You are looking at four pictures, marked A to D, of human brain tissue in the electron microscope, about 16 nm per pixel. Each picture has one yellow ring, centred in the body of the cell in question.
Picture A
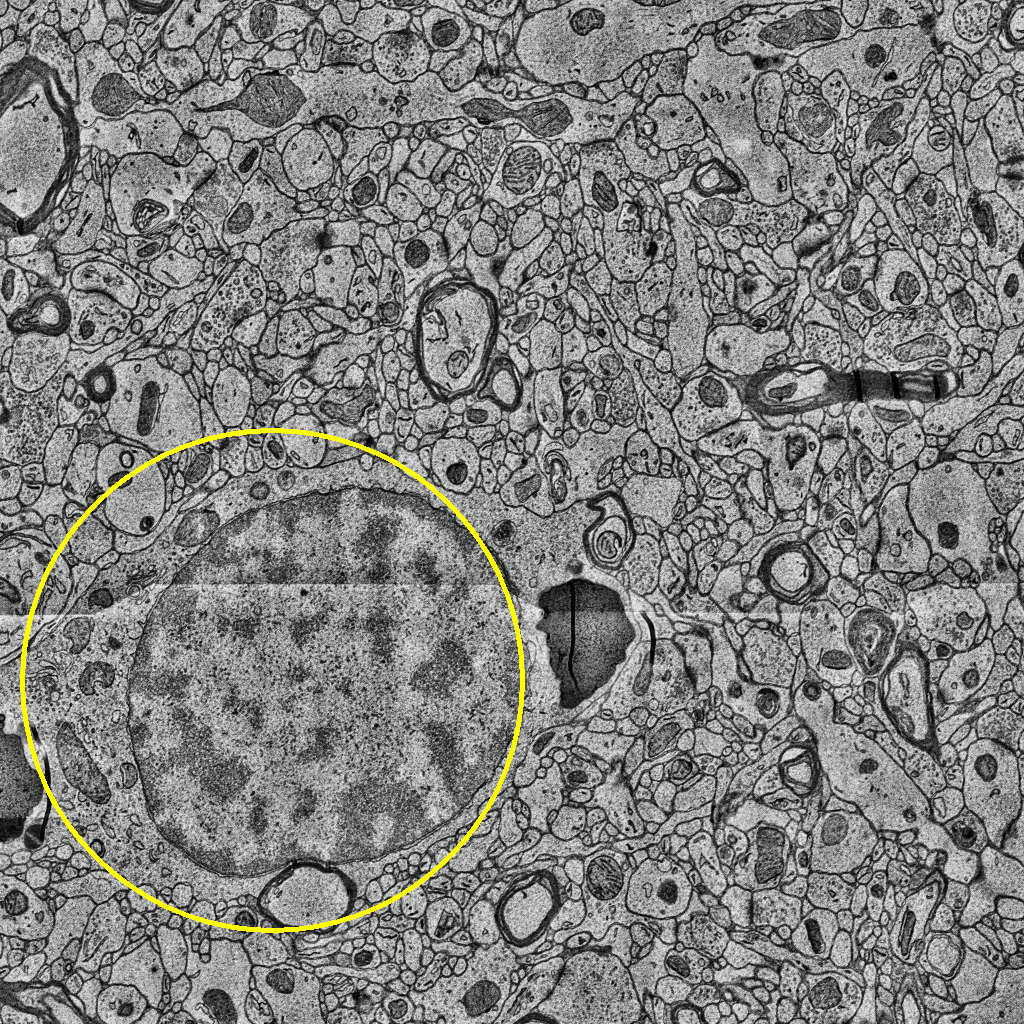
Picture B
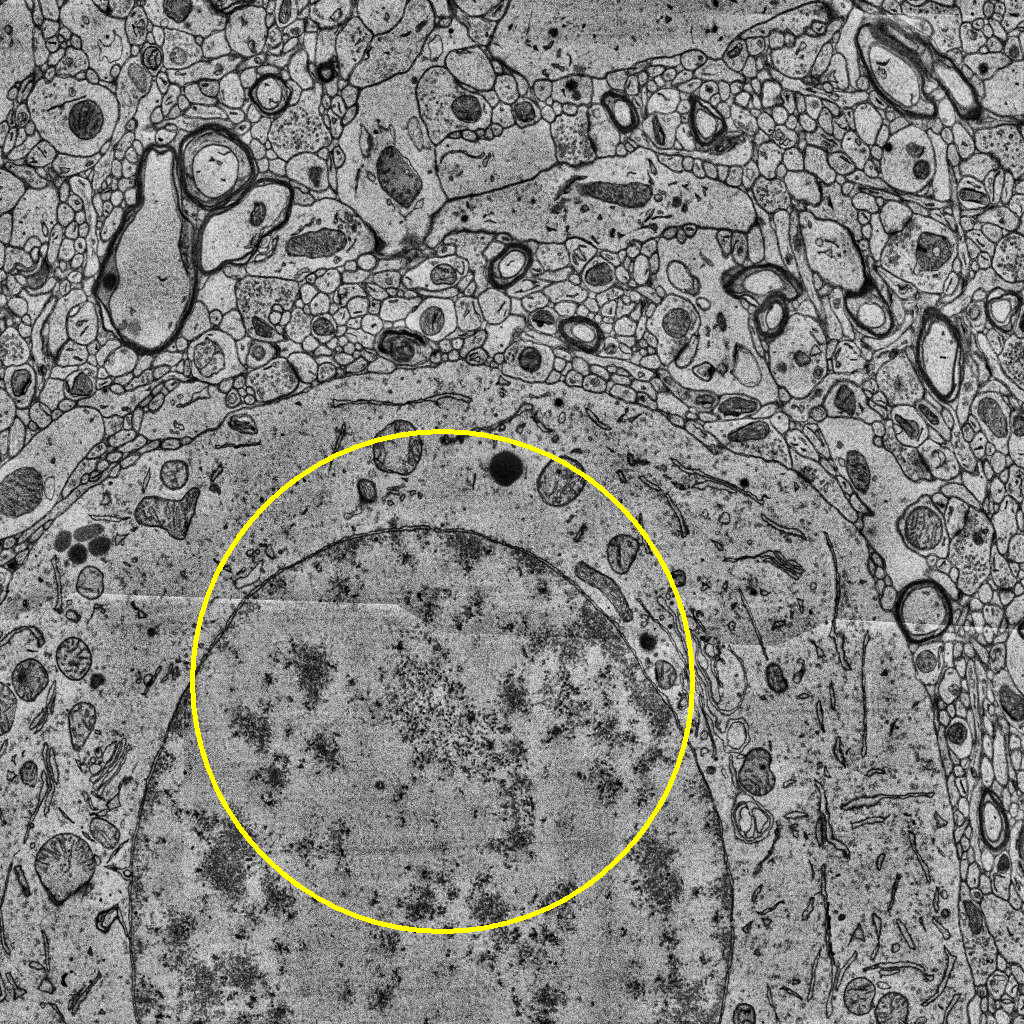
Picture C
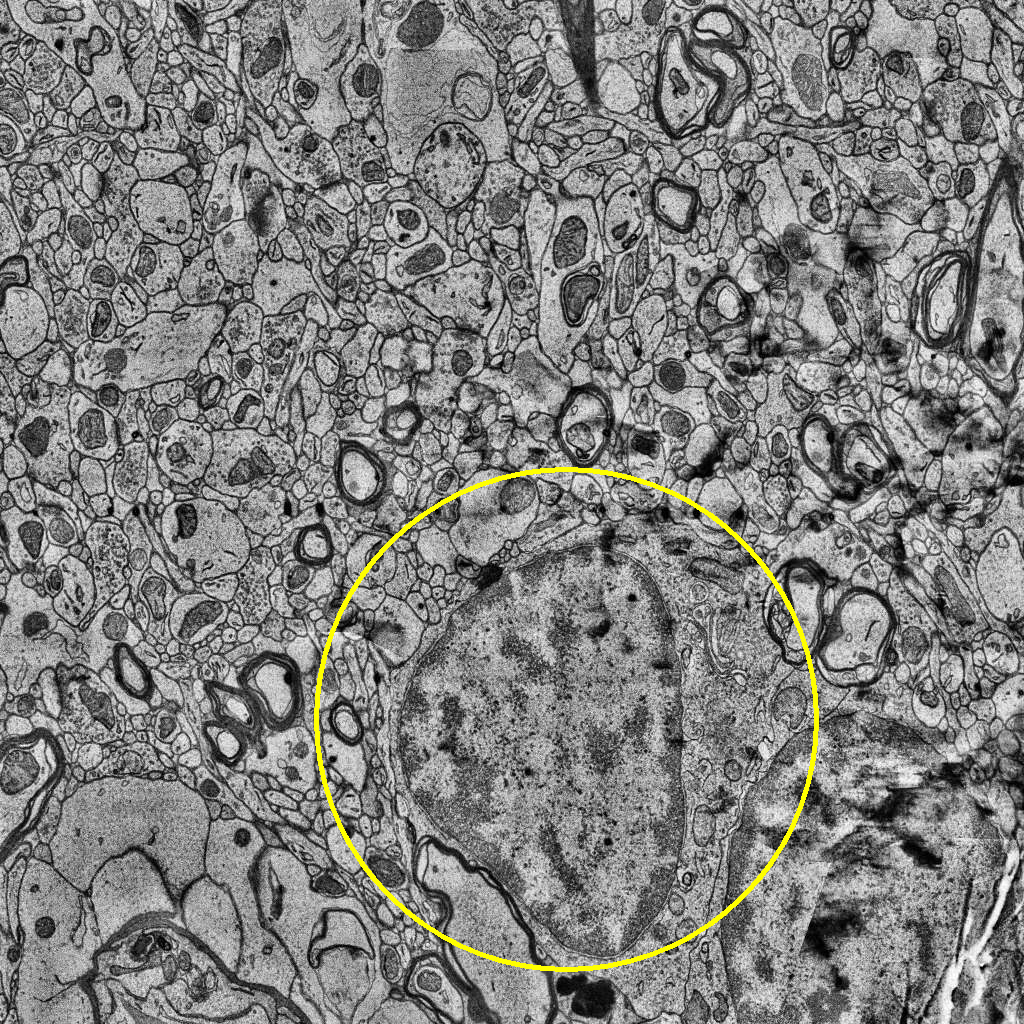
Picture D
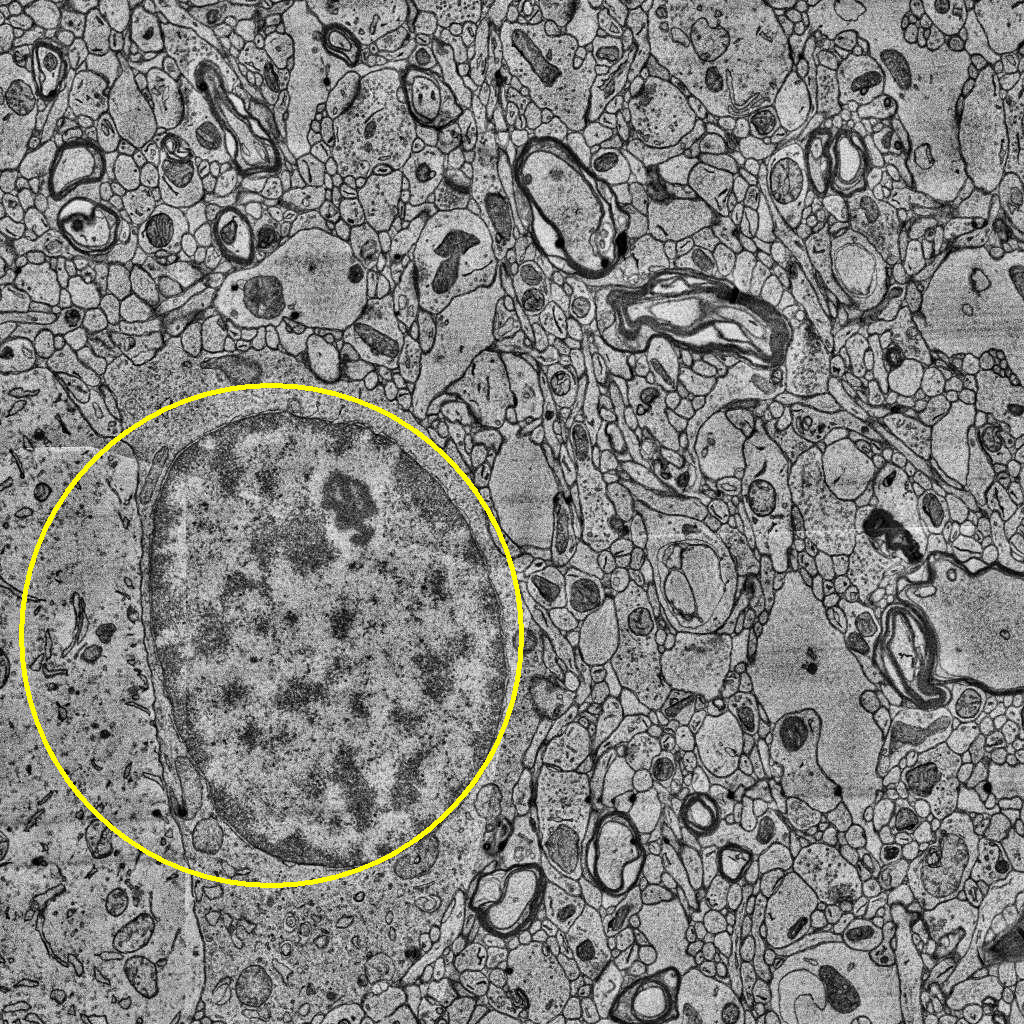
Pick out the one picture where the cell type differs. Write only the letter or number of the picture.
B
